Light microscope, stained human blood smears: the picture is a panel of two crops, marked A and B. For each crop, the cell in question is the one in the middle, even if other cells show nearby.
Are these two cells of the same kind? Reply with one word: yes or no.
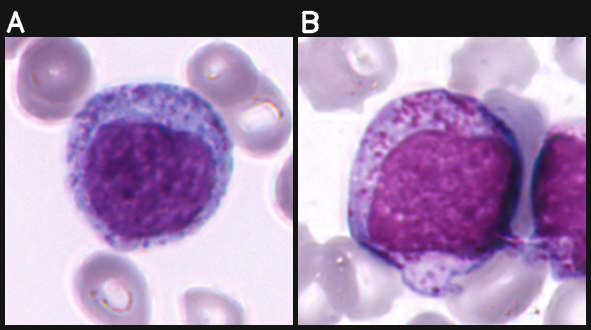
yes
